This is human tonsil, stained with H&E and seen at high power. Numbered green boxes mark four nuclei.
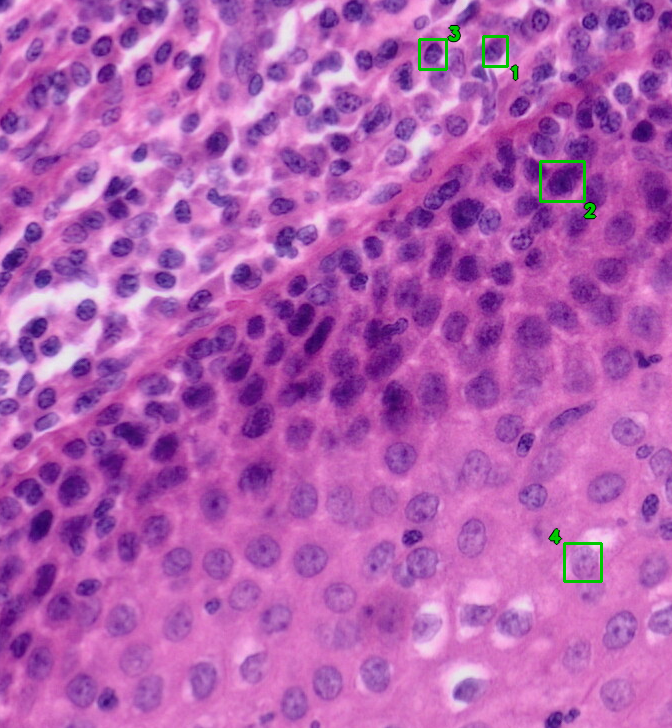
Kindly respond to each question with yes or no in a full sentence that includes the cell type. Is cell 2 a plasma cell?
No, the cell at number 2 is a squamous epithelial cell instead of a plasma cell.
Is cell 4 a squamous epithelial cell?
Yes, the cell that number 4 points to is a squamous epithelial cell.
